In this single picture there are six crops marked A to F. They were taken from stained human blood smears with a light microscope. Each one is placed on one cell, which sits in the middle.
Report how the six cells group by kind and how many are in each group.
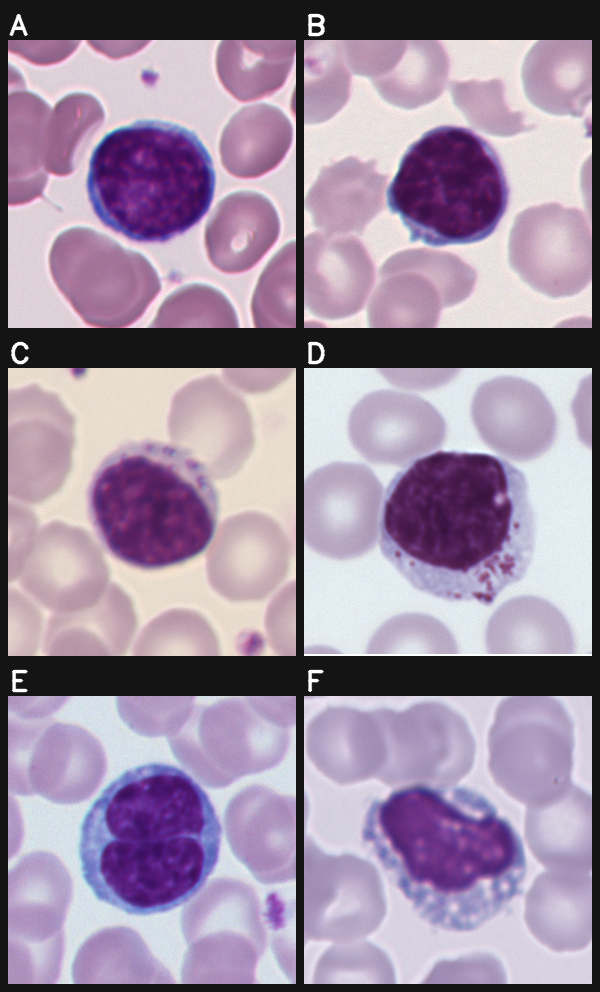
typical lymphocyte: 4
large granular lymphocyte: 2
